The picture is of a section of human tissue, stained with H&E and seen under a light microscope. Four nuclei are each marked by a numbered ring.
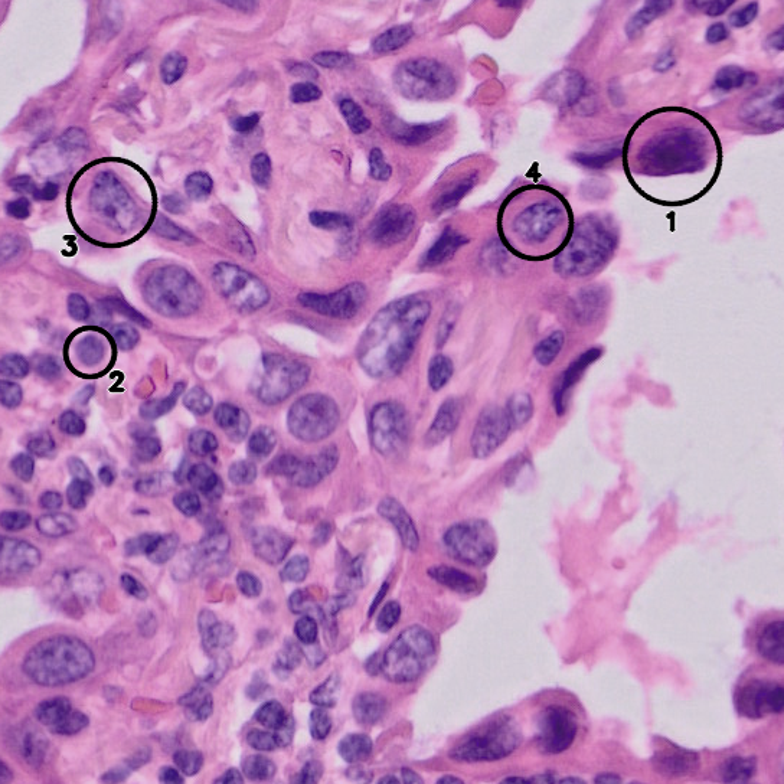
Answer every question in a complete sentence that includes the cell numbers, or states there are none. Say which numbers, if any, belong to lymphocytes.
In contrast to the remaining marked cells, cell 2 is a lymphocyte.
